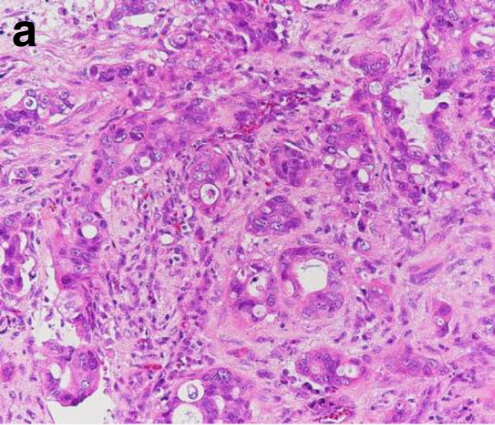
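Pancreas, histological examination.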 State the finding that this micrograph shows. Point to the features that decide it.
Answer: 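Irregular, angulated and fused gland-like nests infiltrate the stroma. Tumour cells have enlarged, pleomorphic nuclei with prominent nucleoli. Small lumina containing pale secretion lie within the cell clusters. A cellular, fibrous pink stroma surrounds the nests. The answer: Moderately differentiated ductal adenocarcinoma.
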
